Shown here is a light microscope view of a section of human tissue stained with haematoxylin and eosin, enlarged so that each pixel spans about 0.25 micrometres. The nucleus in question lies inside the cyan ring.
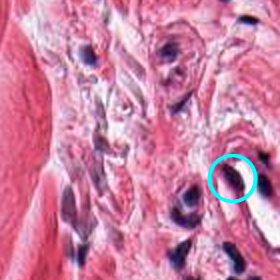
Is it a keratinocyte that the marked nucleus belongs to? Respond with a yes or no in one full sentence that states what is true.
No, instead of a keratinocyte, a supporting cell is what the marked nucleus belongs to.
